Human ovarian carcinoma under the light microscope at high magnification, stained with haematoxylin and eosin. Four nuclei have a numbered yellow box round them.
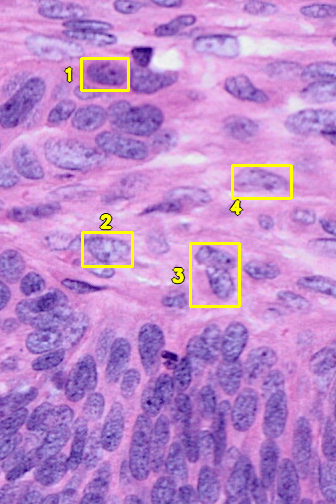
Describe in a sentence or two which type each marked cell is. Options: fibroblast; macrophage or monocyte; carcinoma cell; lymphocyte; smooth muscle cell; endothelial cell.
Cell 1 is a carcinoma cell. Cells 2, 3 and 4 are fibroblasts.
